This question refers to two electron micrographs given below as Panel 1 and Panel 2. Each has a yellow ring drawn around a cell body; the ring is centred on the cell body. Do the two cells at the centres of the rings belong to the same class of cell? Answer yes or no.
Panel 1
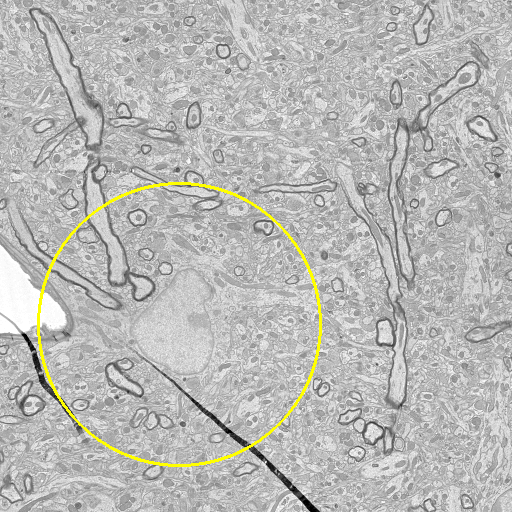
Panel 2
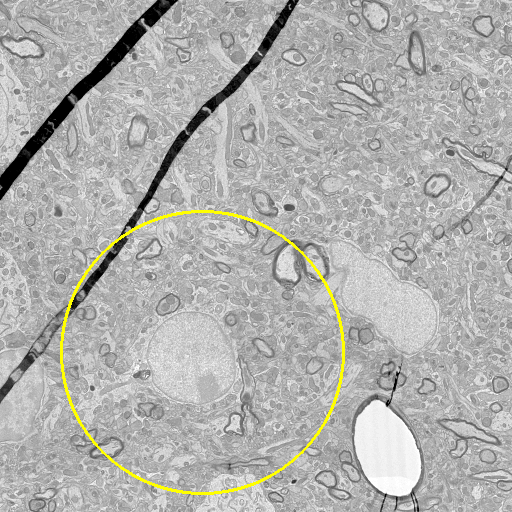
yes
